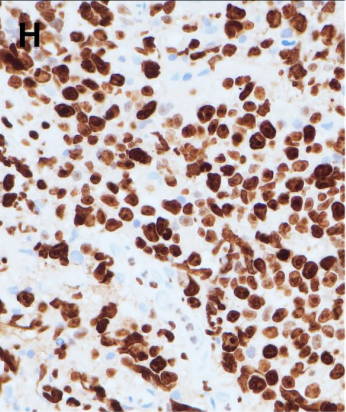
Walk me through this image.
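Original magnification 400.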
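This is a densely cellular tumor made of closely packed, discohesive round cells. Most of their round to oval nuclei stain dark brown, and only a few nuclei are pale blue. Between the cells lies a little pale, loose background.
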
